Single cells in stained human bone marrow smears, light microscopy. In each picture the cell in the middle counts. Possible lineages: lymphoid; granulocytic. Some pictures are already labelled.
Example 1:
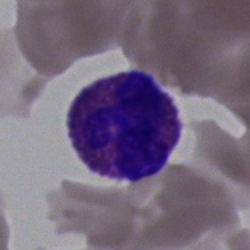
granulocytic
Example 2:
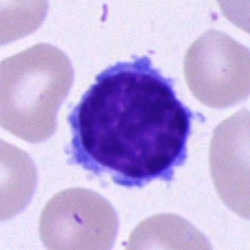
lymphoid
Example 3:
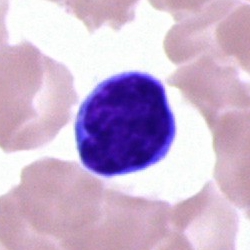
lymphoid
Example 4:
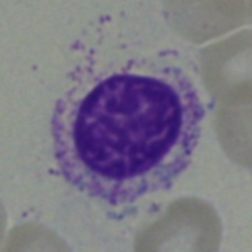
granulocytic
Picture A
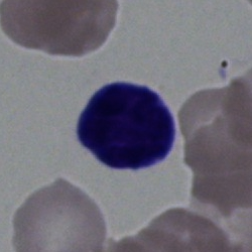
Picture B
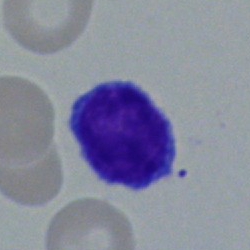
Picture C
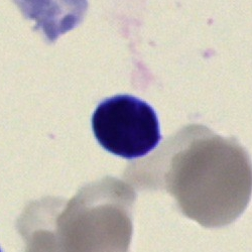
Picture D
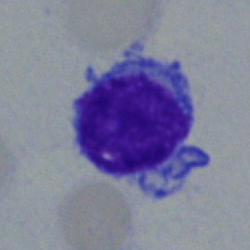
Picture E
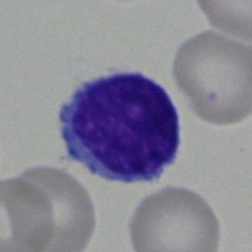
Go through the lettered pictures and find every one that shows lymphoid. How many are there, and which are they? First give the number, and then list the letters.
Count: 5 (A, B, C, D, E)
